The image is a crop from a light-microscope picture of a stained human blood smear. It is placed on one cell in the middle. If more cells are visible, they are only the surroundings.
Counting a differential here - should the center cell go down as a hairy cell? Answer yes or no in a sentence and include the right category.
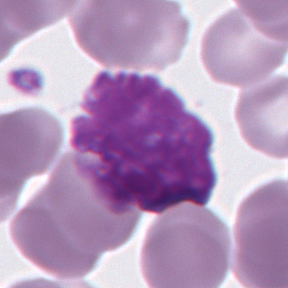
No, the cell at the centre is a smudge cell, which rules out a hairy cell.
